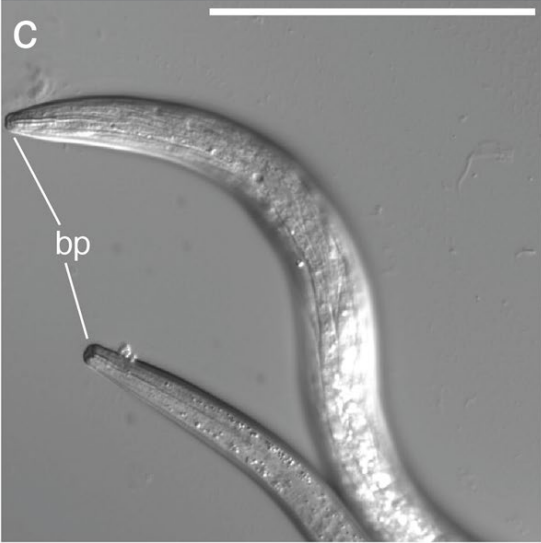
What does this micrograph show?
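These are the head ends of two slender nematode larvae, seen in differential interference contrast. Each head is narrow and bluntly rounded, and at the very tip the mouth opening is closed off by a small, dense, refractile plug rather than open. One larva lies across the frame in a gentle curve while the other enters from below.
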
